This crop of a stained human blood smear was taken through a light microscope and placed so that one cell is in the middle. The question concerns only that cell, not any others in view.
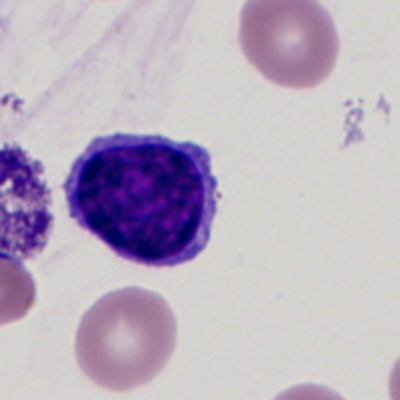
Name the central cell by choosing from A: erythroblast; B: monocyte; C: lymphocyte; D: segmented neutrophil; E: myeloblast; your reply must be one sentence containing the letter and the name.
The cell at the centre is a lymphocyte, and option C accordingly is correct.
